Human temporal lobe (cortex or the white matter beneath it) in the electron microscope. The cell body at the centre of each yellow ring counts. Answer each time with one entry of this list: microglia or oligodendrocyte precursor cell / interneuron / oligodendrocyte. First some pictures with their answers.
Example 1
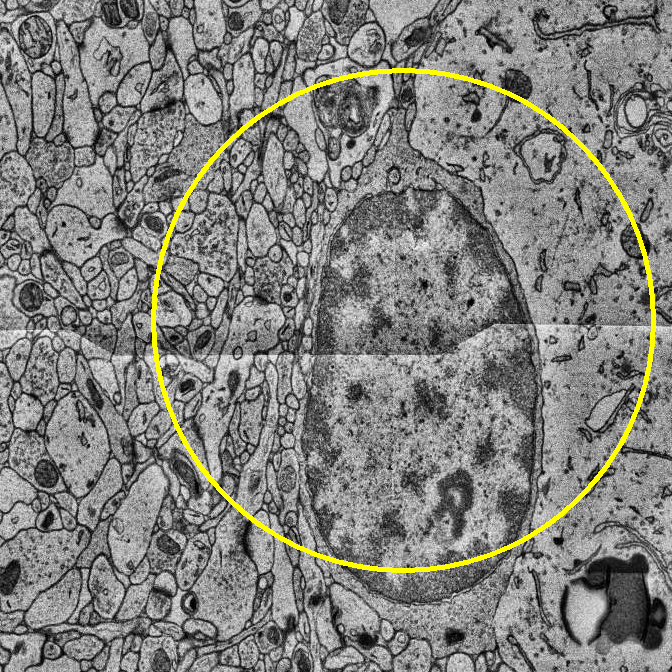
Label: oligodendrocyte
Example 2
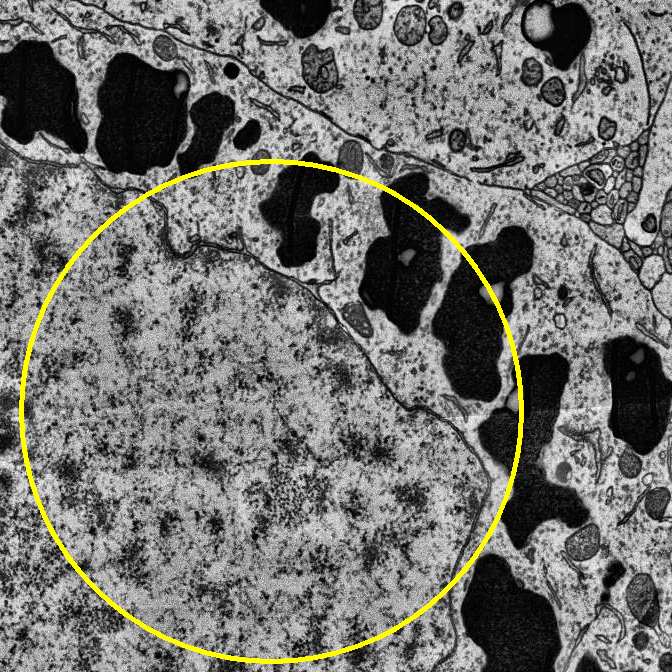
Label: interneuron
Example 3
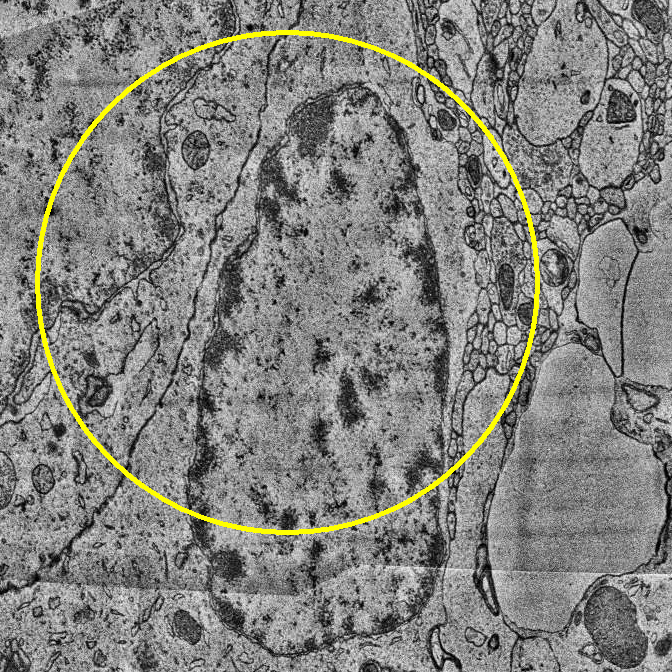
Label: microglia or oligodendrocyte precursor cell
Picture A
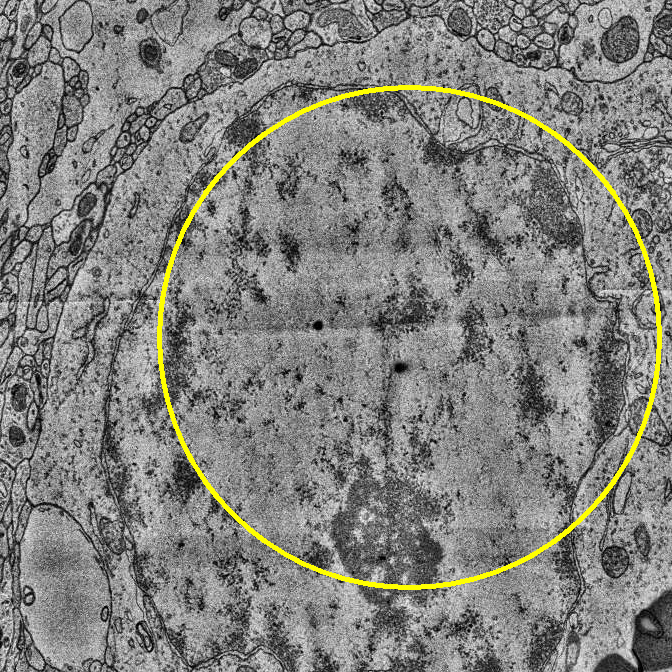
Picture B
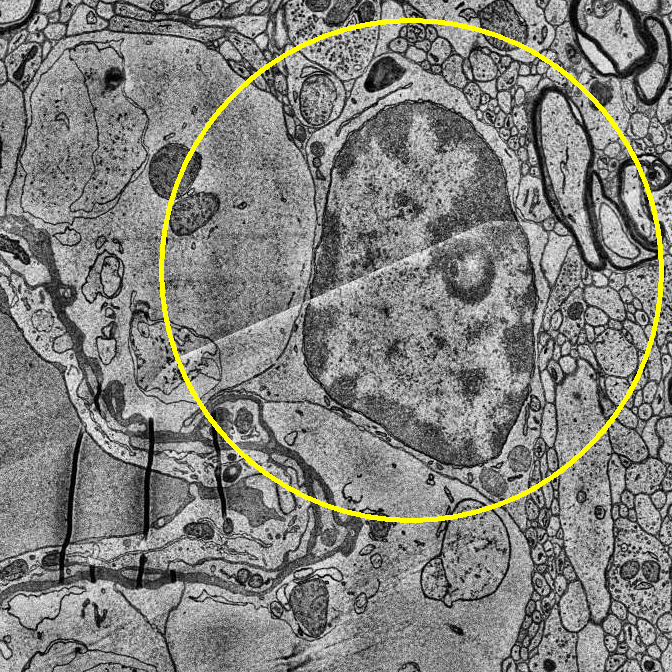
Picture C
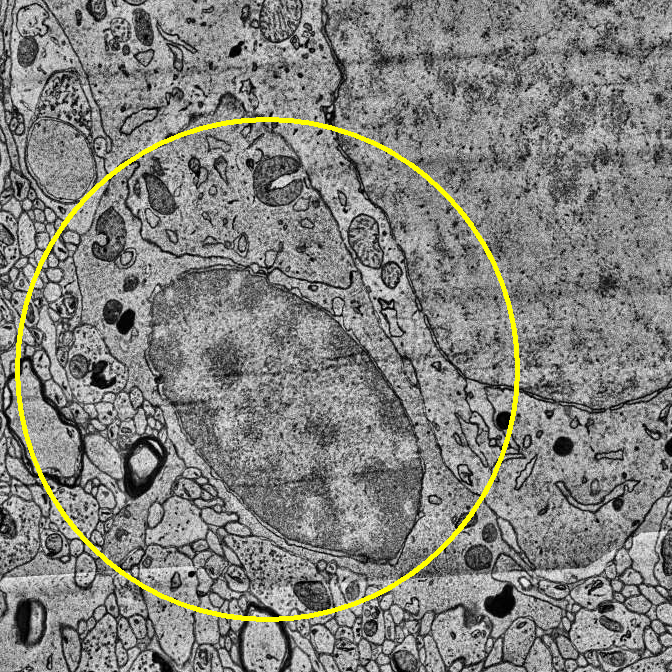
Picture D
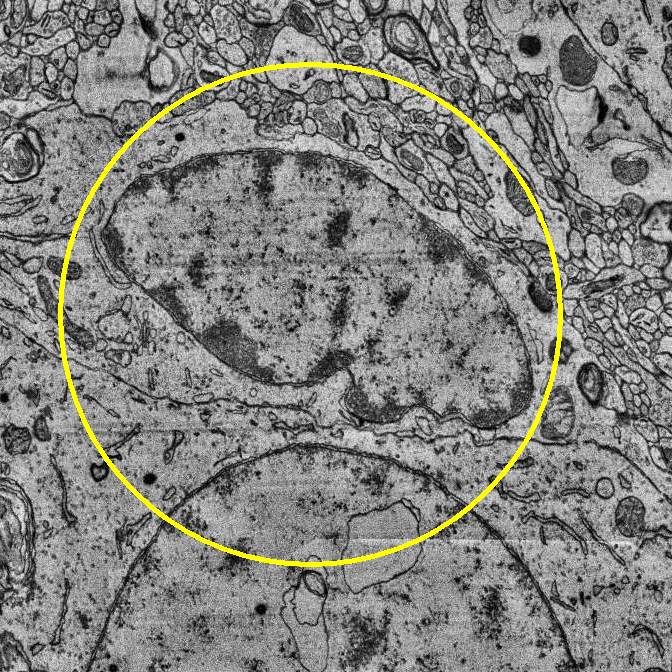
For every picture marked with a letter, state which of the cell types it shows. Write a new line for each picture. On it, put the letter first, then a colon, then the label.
A: interneuron
B: microglia or oligodendrocyte precursor cell
C: oligodendrocyte
D: microglia or oligodendrocyte precursor cell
